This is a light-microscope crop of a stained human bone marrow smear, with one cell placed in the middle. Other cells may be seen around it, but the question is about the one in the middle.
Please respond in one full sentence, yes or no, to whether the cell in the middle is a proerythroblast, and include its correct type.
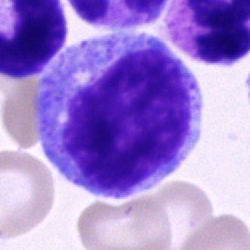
No, what is centred in the crop is not a proerythroblast but a promyelocyte.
